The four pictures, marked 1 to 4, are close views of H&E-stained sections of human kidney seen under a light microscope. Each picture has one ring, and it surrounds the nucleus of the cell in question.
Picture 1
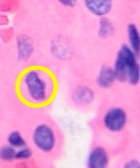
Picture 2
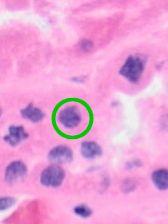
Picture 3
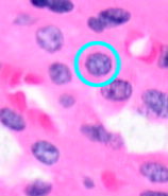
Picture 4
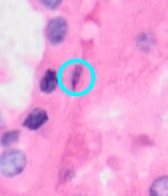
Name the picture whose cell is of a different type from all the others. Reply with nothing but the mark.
4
